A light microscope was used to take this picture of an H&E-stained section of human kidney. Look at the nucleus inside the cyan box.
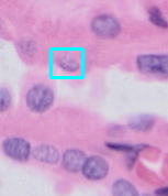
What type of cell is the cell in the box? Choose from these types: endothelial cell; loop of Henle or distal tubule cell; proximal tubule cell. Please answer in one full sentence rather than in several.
The cell type represented by the cell in the box is that of a loop of Henle or distal tubule cell.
